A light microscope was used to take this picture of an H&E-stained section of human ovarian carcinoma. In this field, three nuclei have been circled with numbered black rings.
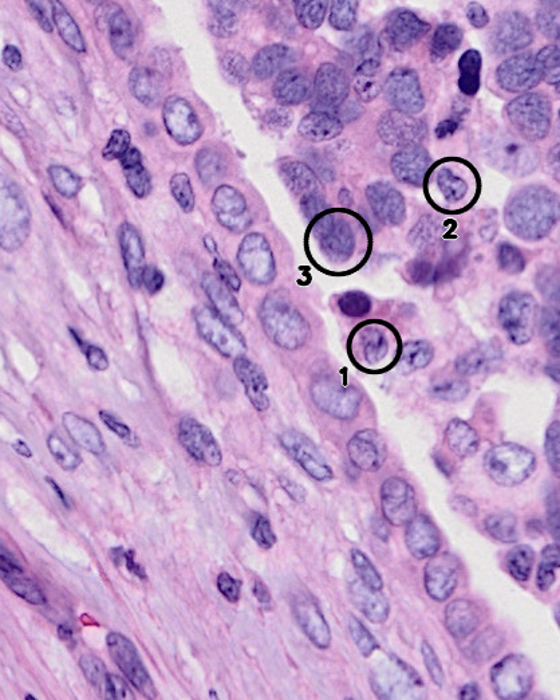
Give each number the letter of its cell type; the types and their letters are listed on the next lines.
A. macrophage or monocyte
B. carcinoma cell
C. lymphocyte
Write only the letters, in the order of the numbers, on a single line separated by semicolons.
A; A; B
